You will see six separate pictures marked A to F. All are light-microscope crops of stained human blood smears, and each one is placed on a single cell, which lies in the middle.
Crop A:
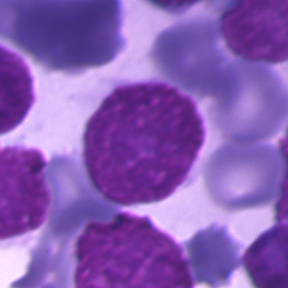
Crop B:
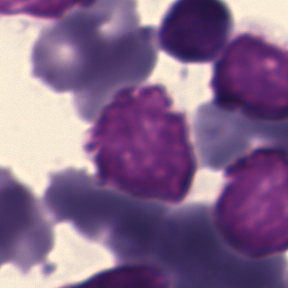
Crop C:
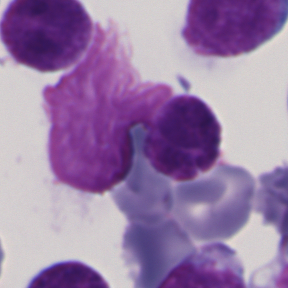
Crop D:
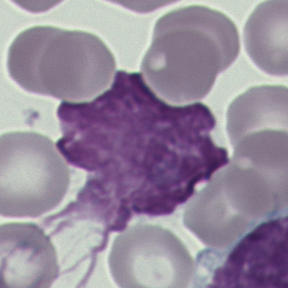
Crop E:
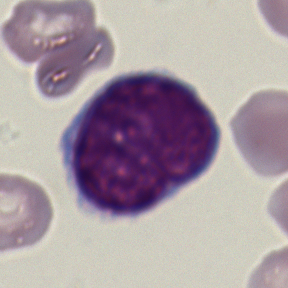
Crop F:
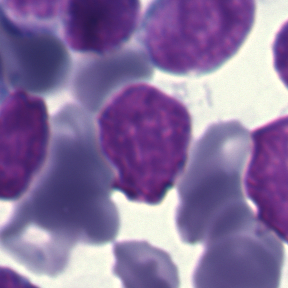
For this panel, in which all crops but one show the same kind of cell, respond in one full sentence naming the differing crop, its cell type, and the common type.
In this set, all crops show smudge cells apart from crop E, which is a myeloblast.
